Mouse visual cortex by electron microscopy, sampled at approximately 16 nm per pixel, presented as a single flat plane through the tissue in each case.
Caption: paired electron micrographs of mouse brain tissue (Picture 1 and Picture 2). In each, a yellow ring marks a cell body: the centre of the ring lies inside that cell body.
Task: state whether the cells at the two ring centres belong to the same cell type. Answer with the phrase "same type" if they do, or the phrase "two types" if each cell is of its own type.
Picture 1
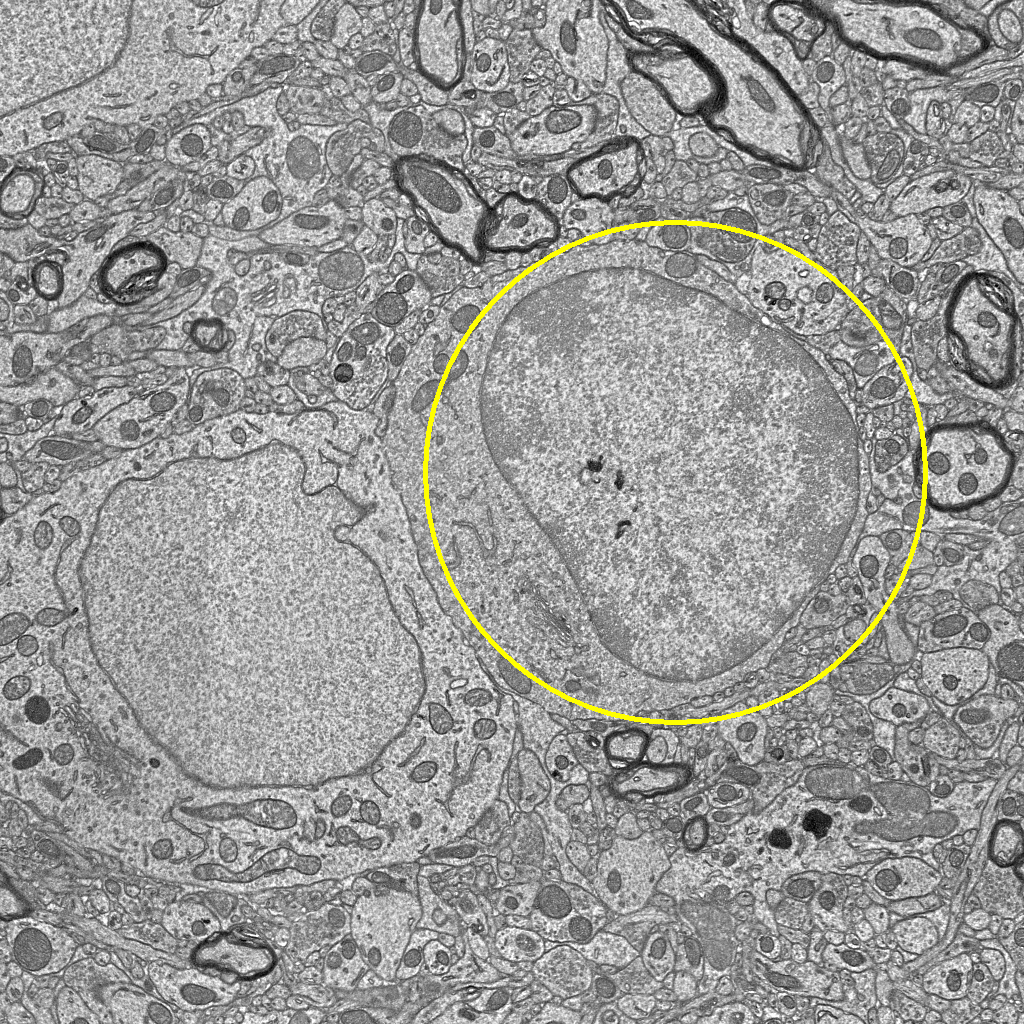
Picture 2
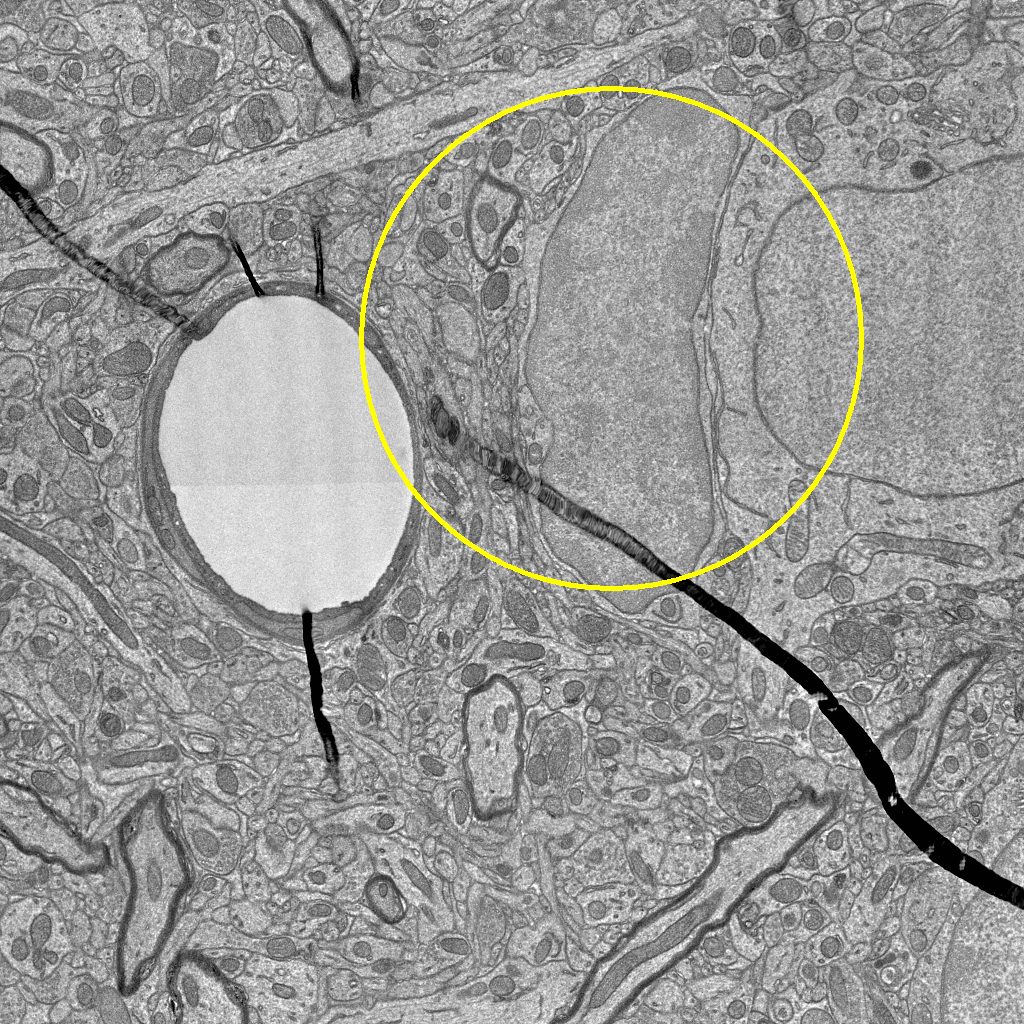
two types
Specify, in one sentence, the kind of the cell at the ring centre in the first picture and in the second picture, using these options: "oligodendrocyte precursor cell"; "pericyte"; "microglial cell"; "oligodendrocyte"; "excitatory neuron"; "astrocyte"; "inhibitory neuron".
The two differ: the first cell is an oligodendrocyte and the second is a microglial cell.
